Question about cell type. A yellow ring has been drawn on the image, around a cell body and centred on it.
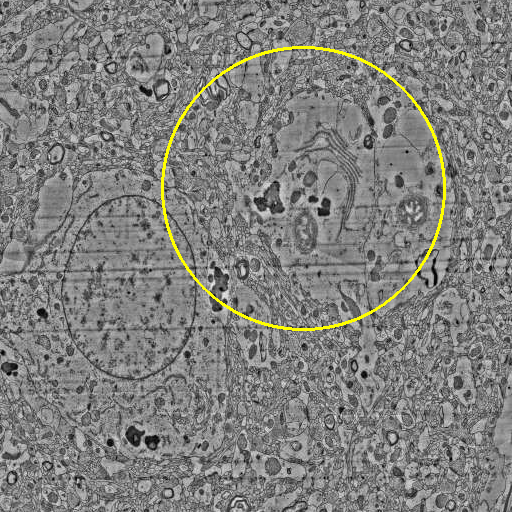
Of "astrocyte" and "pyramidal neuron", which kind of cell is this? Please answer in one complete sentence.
At the centre of the ring lies an astrocyte.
